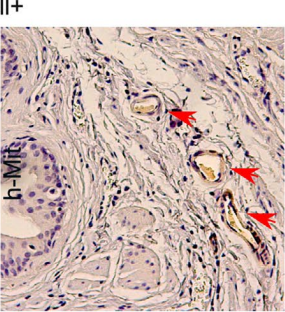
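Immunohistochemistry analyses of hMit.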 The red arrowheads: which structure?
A: Vessels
